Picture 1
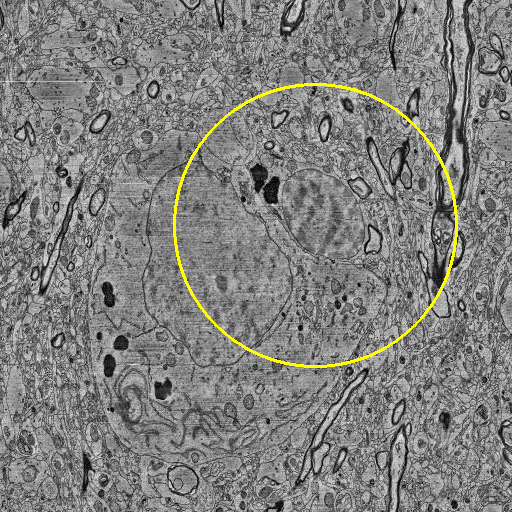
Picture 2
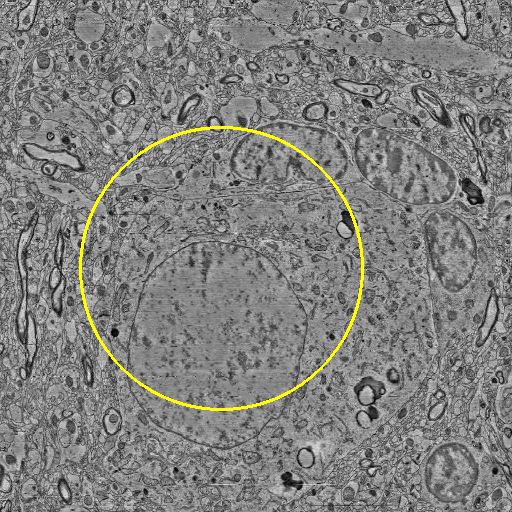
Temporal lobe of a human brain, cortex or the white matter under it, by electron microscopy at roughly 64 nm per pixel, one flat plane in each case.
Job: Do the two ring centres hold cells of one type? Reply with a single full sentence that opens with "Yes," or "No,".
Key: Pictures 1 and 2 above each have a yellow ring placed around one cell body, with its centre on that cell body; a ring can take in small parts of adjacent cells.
No, the cells at the two ring centres are of two separate types.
